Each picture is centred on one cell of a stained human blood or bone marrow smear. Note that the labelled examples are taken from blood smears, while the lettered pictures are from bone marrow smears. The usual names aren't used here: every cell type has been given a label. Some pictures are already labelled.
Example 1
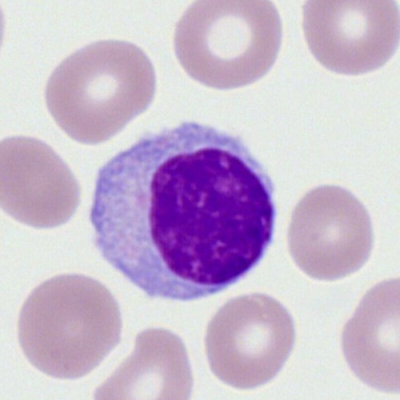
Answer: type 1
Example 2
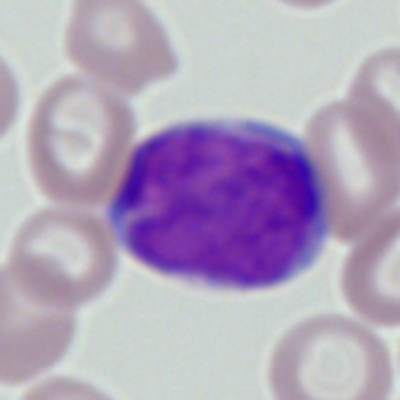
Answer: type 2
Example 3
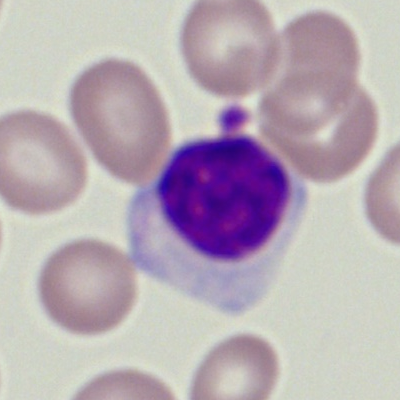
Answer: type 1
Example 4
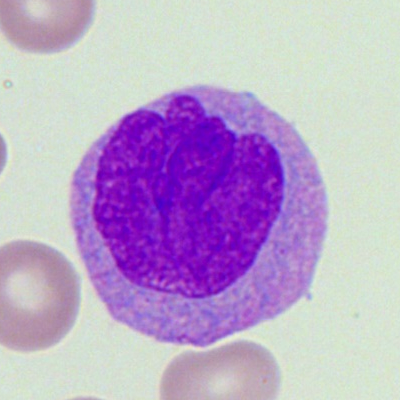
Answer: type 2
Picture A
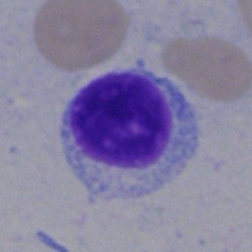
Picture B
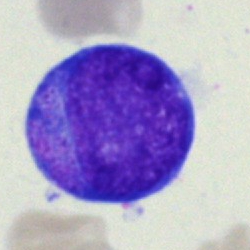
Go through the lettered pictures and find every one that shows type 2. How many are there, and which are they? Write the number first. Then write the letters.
1: B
